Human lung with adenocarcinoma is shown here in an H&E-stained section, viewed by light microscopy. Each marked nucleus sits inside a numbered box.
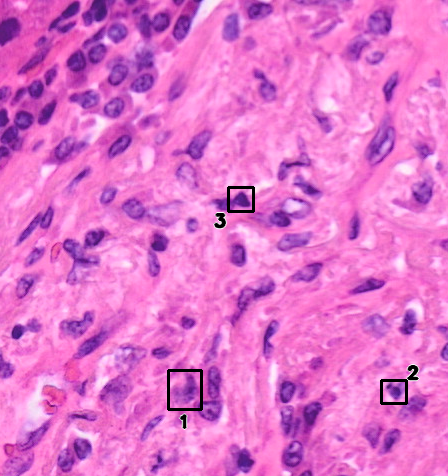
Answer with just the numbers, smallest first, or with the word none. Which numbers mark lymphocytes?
2, 3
